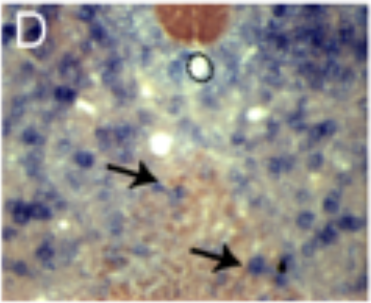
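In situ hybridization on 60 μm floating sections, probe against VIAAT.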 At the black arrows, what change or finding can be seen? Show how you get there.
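Neurons in the white matter. The arrows point to blue-stained cell bodies. These cell bodies lie within the pale brown wedge-shaped region below the grey matter.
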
